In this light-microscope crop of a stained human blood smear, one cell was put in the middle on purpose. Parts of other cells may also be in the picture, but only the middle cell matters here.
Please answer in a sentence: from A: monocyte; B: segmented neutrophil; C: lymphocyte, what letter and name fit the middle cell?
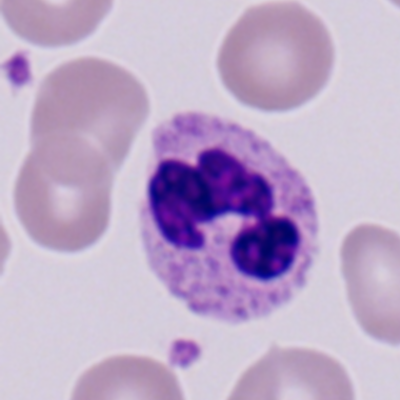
Identified correctly by option B, the cell in the middle is a segmented neutrophil.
